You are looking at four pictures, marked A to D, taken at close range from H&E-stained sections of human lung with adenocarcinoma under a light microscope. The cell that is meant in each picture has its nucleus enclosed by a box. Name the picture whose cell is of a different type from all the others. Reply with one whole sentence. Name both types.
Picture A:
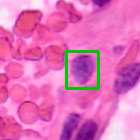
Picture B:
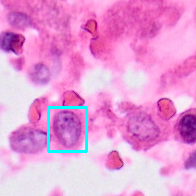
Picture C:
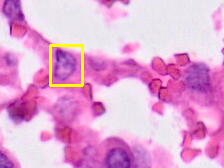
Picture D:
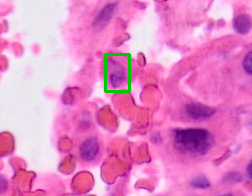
Picture A is the odd one out: it shows a type I pneumocyte, while the others show “macrophages or monocytes”.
